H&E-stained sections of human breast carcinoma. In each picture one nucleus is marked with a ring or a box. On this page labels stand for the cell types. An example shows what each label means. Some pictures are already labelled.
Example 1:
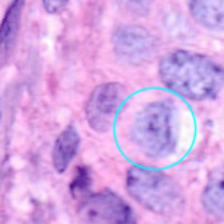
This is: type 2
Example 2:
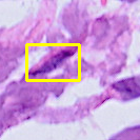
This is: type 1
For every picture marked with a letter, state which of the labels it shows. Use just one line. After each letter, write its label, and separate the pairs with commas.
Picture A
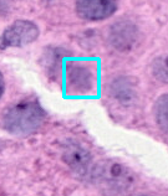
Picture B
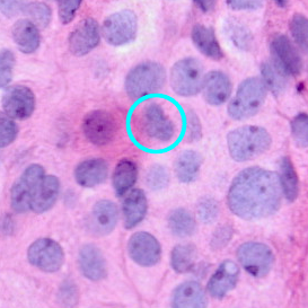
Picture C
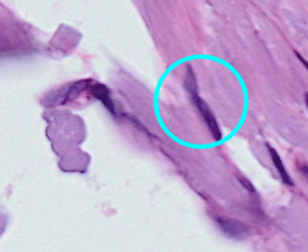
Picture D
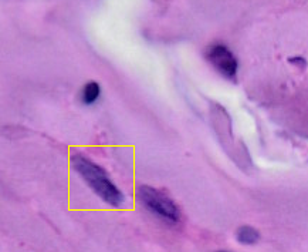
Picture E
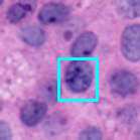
A type 2, B type 2, C type 1, D type 1, E type 2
